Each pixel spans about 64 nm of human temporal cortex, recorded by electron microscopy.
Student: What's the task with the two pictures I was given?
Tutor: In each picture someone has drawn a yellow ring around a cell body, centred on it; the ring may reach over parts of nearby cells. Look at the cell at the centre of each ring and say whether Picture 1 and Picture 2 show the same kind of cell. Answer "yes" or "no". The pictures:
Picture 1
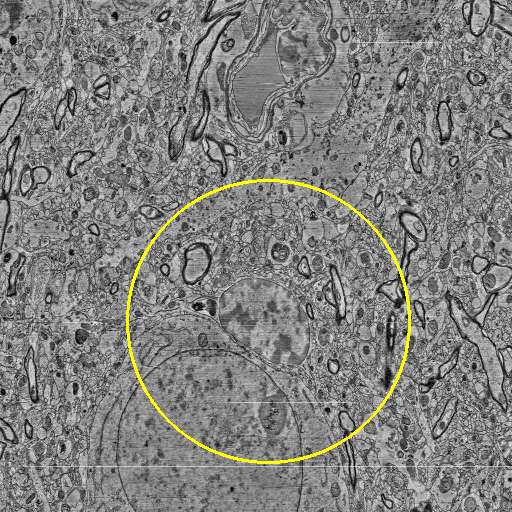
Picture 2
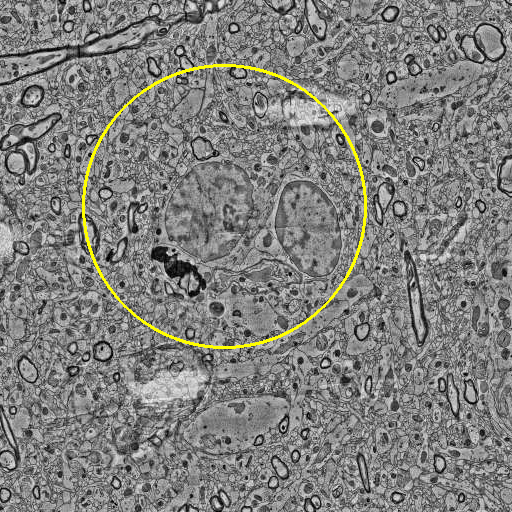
no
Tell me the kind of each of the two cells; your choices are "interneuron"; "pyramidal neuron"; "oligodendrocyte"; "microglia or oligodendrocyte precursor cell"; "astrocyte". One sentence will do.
The ringed cell is a microglial cell or oligodendrocyte precursor cell in the first picture and an oligodendrocyte in the second picture.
